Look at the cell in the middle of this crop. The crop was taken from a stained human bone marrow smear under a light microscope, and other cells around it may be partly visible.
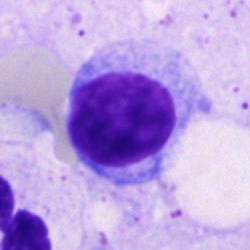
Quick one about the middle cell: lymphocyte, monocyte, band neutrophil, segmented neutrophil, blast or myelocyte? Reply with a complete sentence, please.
The center cell of this crop is a lymphocyte.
